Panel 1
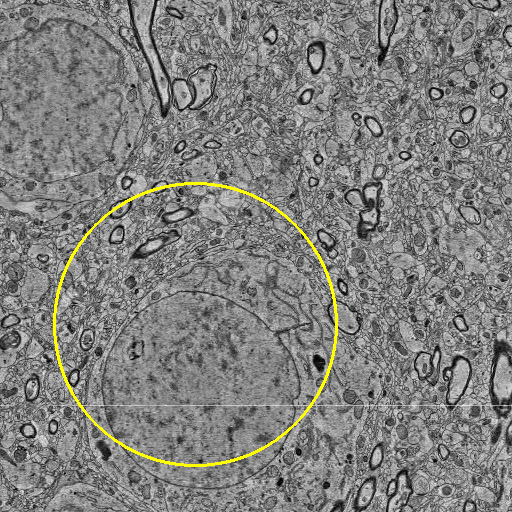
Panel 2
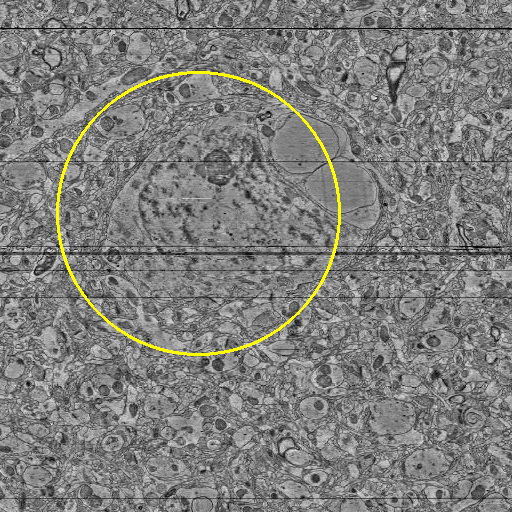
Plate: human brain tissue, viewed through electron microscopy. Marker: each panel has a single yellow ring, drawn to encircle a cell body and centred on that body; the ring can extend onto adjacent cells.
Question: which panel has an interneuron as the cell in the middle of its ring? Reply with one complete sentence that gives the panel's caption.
Panel 2 is where the requested cell sits at the centre of the ring.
